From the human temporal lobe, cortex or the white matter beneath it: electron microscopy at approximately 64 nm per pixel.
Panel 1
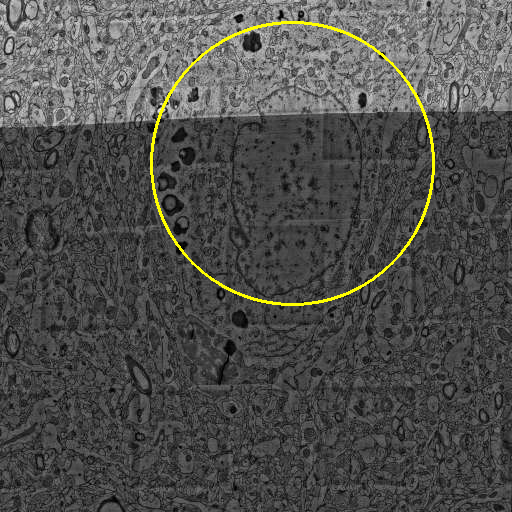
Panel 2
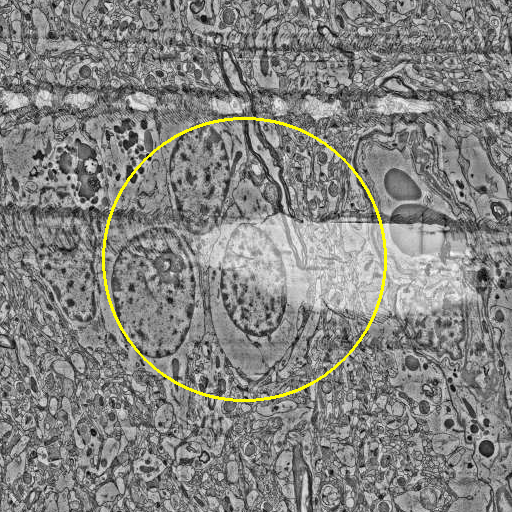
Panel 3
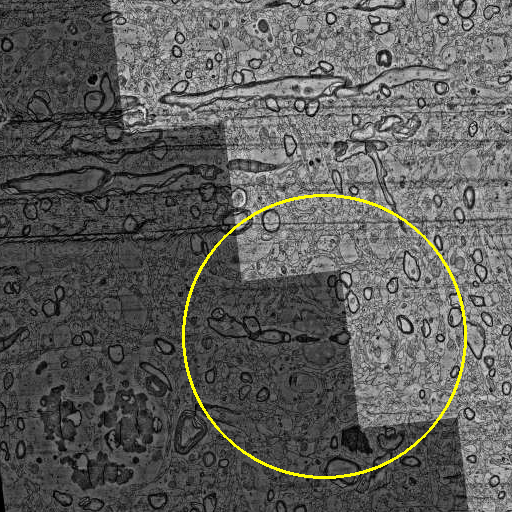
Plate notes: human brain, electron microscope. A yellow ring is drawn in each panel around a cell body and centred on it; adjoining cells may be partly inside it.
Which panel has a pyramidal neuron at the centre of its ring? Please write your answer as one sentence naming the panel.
The ring in Panel 1 is centred on such a cell.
